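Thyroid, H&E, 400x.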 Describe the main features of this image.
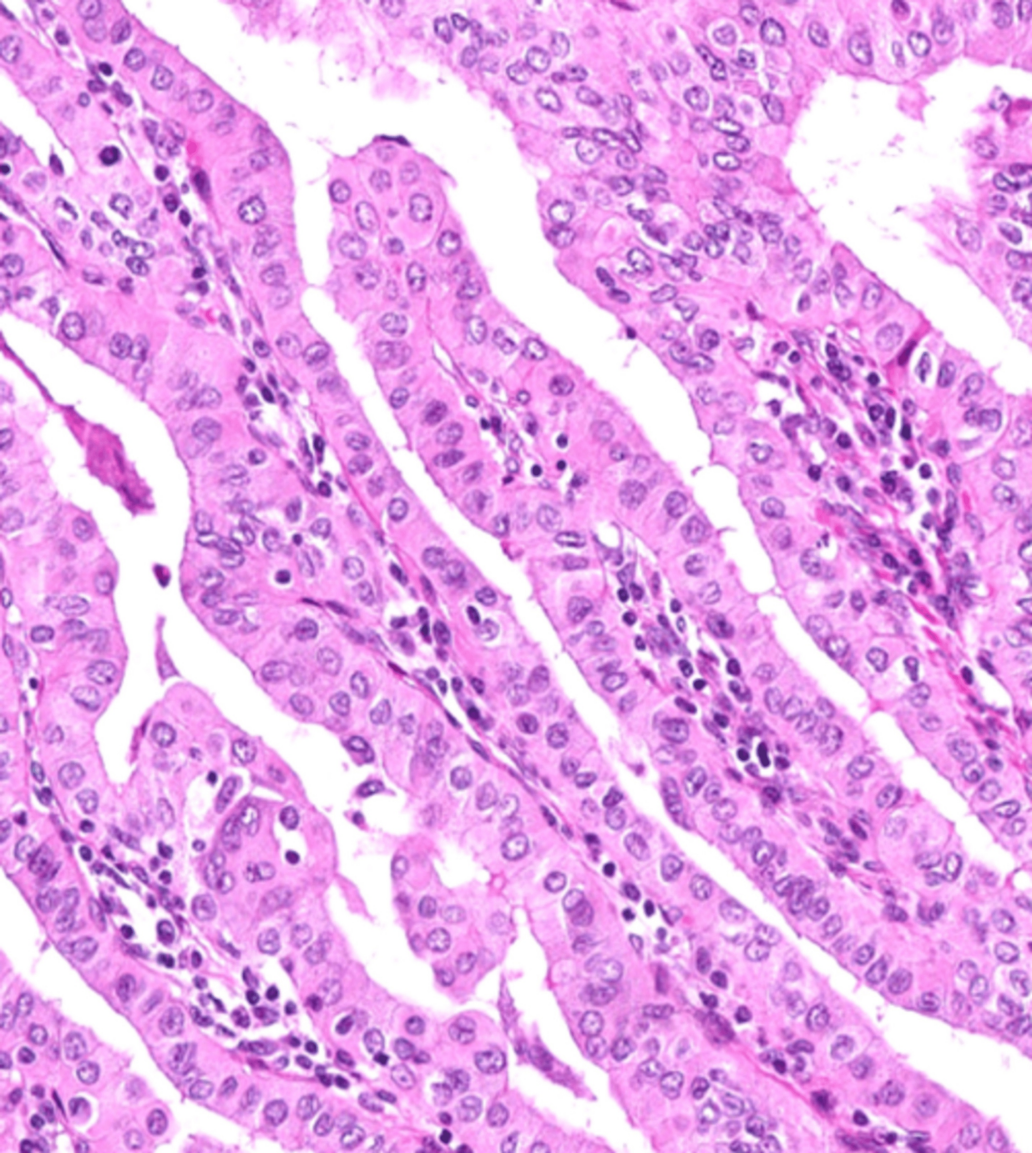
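The papillae are lined by tall columnar cells, taller than wide, with abundant intensely pink cytoplasm and sharp cell borders. Nuclei are enlarged, oval, pale and crowded, with frequent grooves and occasional round pale intranuclear inclusions. Narrow clear spaces separate the fronds.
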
